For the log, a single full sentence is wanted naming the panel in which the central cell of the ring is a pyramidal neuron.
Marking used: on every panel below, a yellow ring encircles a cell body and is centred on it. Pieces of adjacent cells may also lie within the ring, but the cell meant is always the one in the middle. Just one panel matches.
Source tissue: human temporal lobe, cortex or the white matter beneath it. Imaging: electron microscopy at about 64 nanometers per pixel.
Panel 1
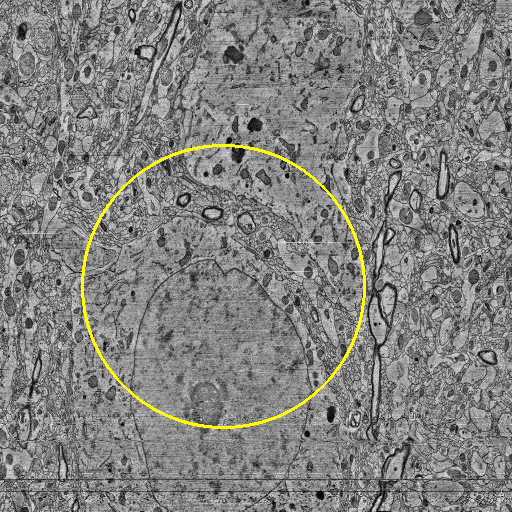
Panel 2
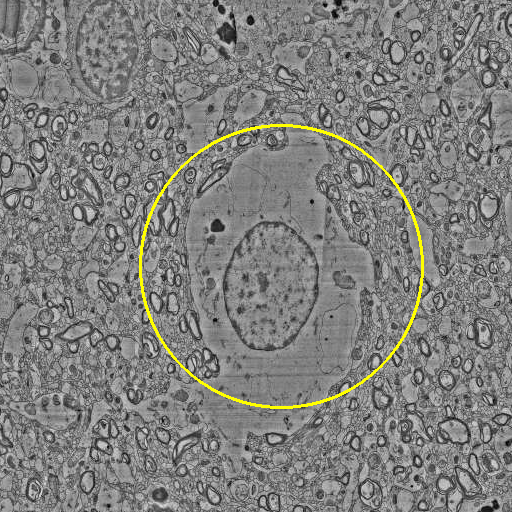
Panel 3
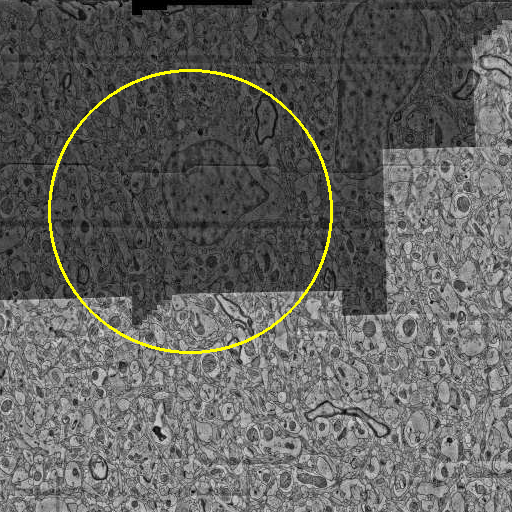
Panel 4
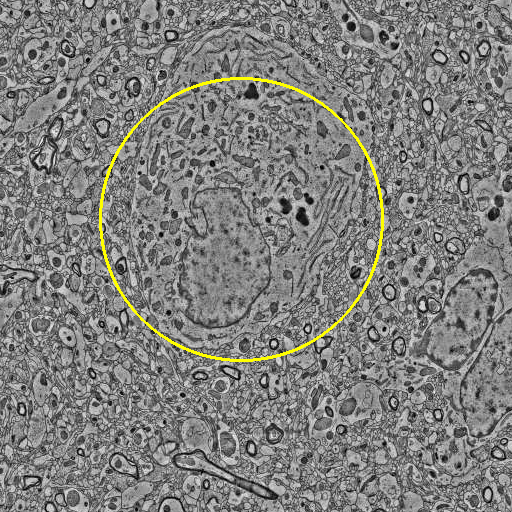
The cell in the middle of the ring in panel 1 is the one asked for.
